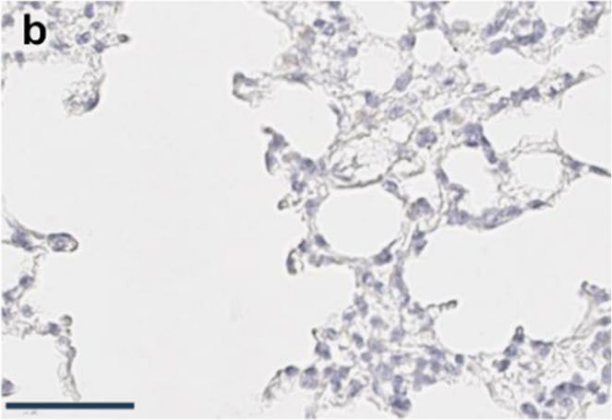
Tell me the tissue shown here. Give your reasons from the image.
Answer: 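Lung parenchyma. Thin septa enclose rounded empty air spaces. Large empty areas border the network of septa.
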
